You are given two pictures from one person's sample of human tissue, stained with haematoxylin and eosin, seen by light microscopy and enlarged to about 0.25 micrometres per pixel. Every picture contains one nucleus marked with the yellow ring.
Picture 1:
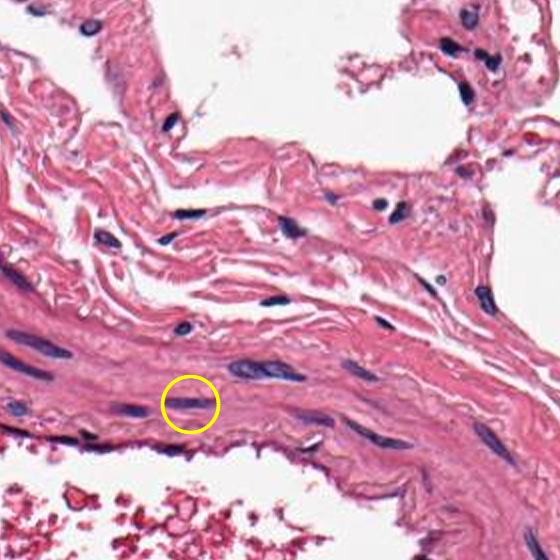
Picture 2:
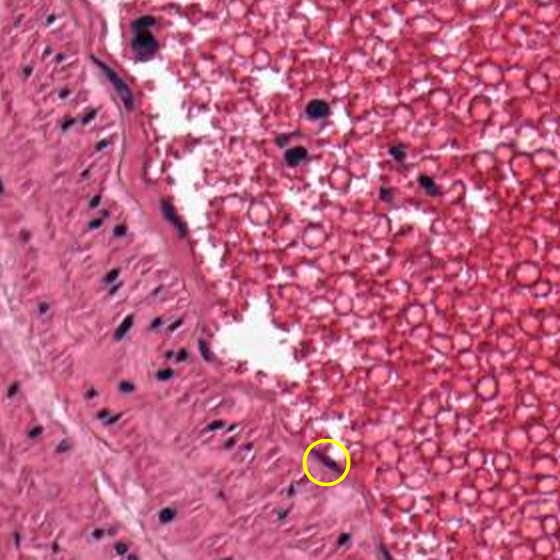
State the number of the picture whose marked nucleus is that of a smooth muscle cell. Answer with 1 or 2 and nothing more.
1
